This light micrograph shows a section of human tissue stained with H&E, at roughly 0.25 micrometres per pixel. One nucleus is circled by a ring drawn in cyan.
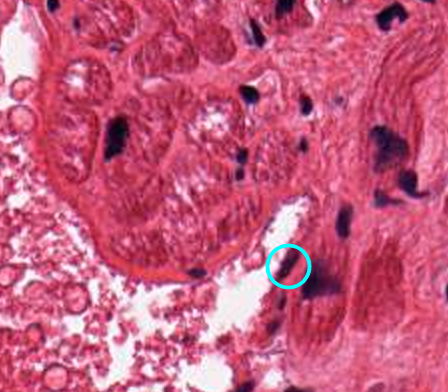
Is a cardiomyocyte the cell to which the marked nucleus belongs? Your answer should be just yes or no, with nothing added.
no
